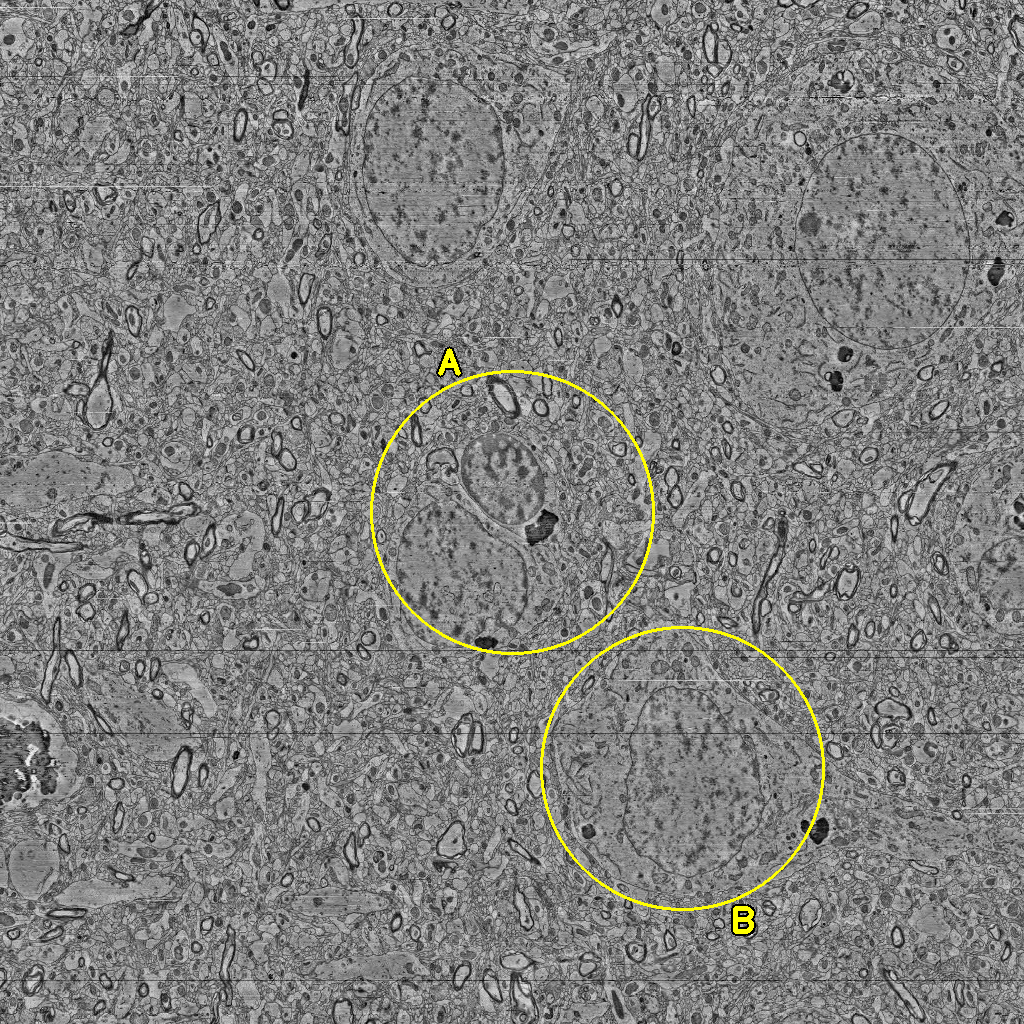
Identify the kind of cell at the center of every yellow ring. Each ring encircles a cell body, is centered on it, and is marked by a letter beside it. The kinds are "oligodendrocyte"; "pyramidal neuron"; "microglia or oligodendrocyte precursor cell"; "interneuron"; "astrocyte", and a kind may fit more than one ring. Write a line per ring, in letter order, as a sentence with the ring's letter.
The cell centered in ring A is an oligodendrocyte.
The cell centered in ring B is a pyramidal neuron.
